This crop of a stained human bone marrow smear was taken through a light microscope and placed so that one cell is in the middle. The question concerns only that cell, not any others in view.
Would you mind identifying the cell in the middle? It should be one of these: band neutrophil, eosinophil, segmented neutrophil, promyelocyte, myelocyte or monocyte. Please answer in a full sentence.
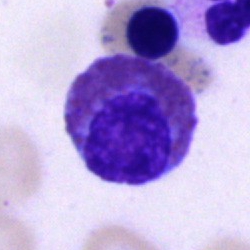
The central element of this crop is a cell, namely an eosinophil.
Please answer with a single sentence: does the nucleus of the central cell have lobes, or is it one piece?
The nucleus is one compact mass, round, oval or kidney-shaped in outline.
